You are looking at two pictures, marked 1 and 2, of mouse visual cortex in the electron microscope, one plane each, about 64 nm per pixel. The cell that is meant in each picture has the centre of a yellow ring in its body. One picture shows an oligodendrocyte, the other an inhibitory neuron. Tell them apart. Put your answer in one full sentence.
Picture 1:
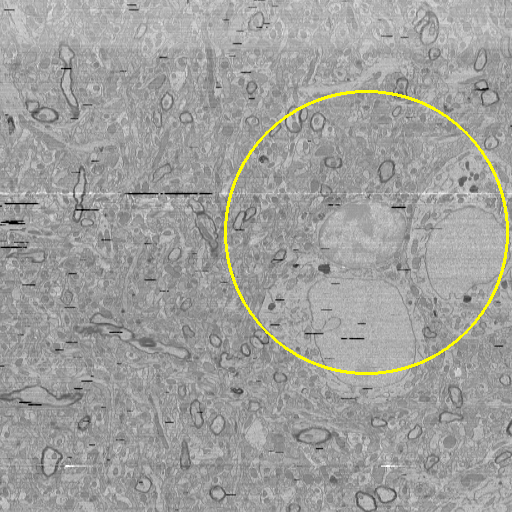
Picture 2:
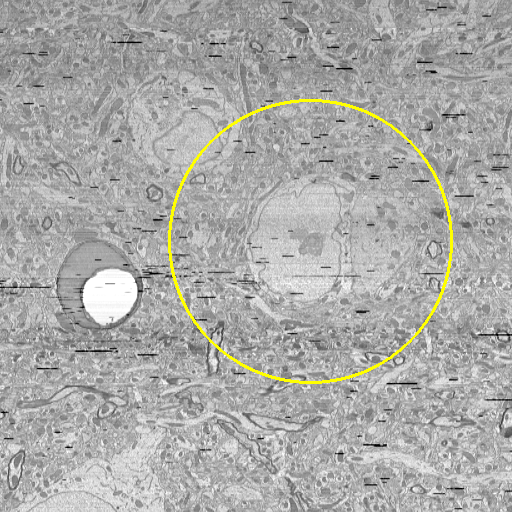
Picture 1 shows an oligodendrocyte and picture 2 shows an inhibitory neuron.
